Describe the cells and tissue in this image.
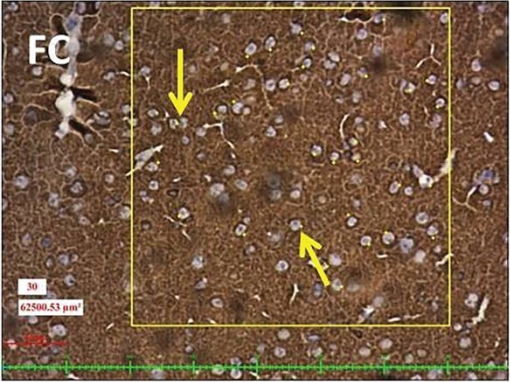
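This is cerebral cortex with neurons scattered singly and fairly evenly through a brown, finely granular neuropil. Their cell bodies are small and rounded with pale bluish nuclei, and thin pale channels of small vessels run between them.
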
